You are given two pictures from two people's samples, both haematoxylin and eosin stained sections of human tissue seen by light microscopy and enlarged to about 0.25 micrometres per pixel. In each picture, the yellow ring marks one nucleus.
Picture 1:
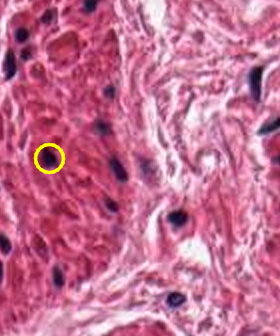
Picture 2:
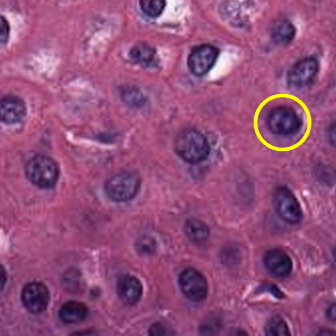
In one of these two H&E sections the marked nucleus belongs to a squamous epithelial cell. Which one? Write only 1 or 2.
2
